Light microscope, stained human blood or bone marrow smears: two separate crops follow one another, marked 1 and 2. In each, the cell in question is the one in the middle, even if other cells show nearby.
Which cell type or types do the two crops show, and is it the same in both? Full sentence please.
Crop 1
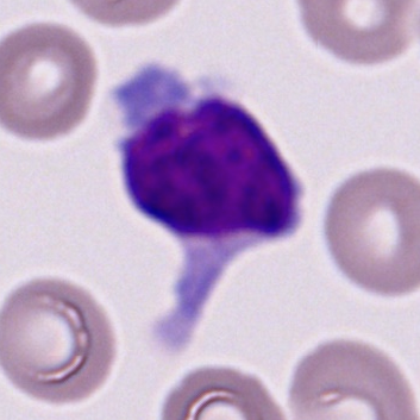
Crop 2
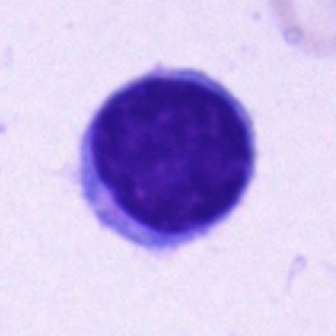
Yes, at the centre of both crops are lymphocytes.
